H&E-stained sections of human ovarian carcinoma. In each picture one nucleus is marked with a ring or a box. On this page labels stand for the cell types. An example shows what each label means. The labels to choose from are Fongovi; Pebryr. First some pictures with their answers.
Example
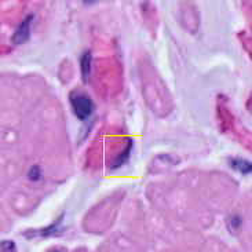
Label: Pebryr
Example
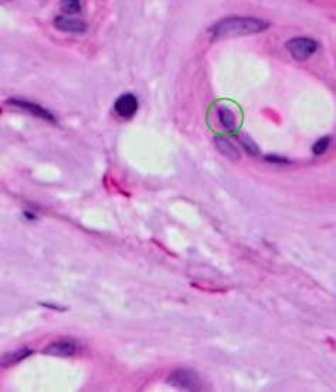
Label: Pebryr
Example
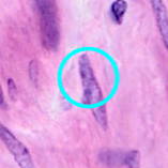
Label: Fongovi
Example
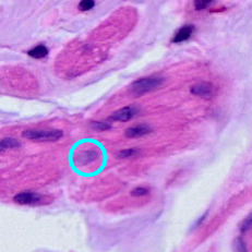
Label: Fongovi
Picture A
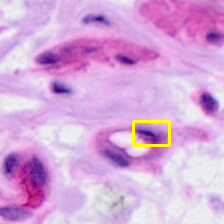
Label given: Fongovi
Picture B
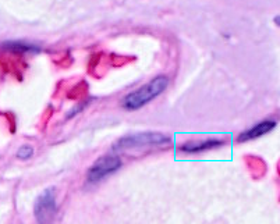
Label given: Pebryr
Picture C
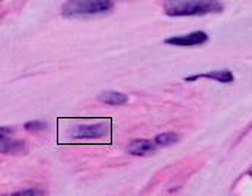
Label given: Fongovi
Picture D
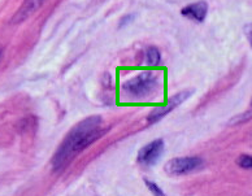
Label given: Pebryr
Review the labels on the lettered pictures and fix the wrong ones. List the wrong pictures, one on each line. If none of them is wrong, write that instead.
A: not Fongovi but Pebryr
